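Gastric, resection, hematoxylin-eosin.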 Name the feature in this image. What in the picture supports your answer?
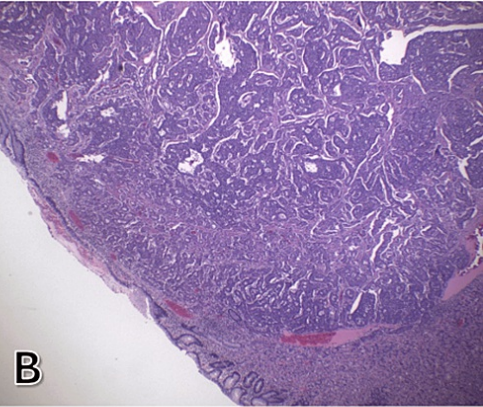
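Nested and glandular patterns. At low power the tumor forms a large mass of nests and cords divided by thin septa. Scattered open spaces and lumens lie among the nests.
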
